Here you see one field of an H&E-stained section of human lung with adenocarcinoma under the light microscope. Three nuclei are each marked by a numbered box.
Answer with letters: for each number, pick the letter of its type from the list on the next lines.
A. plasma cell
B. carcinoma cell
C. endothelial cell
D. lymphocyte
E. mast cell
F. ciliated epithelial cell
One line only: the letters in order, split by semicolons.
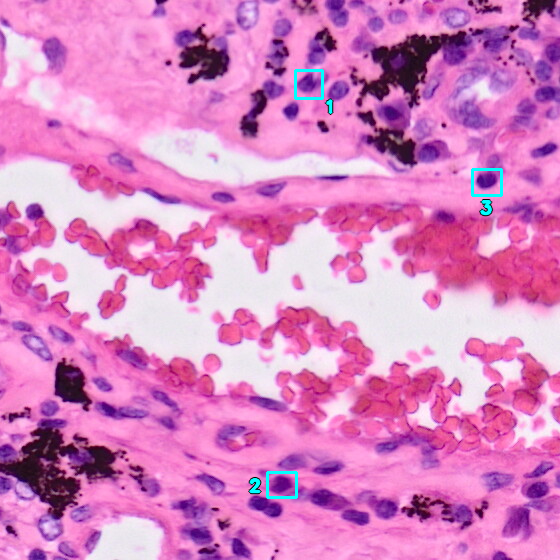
D; A; D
